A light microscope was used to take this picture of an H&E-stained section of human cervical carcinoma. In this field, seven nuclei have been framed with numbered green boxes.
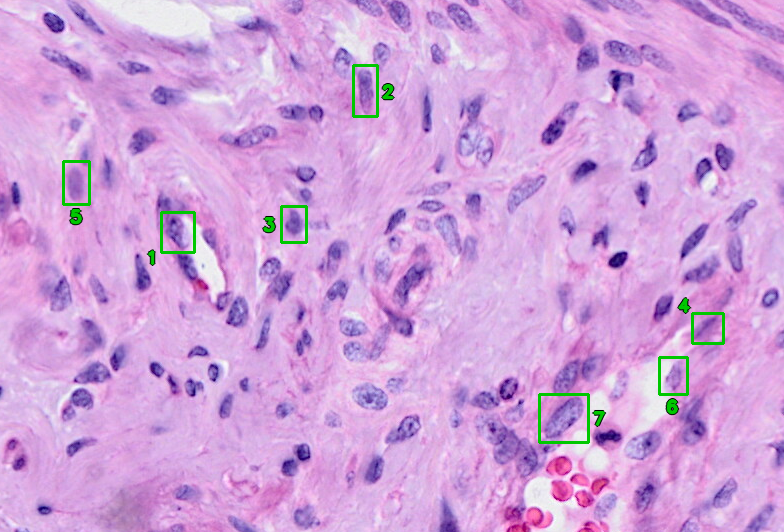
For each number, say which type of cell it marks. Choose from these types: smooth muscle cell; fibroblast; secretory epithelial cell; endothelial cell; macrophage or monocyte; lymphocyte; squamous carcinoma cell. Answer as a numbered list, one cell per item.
1. endothelial cell
2. smooth muscle cell
3. fibroblast
4. endothelial cell
5. fibroblast
6. endothelial cell
7. endothelial cell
